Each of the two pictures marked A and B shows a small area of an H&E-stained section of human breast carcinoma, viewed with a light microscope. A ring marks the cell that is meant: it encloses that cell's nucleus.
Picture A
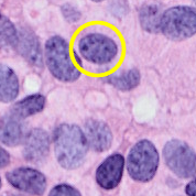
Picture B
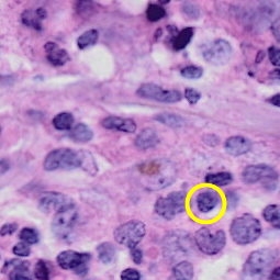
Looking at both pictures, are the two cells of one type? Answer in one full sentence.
No, picture A shows a carcinoma cell and picture B shows a lymphocyte.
